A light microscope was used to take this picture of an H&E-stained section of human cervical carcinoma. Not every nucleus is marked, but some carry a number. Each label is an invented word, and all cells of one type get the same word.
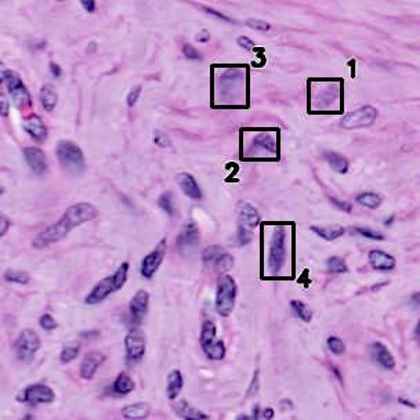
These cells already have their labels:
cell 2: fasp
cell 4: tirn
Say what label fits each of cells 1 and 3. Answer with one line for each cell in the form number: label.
1: fasp
3: fasp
